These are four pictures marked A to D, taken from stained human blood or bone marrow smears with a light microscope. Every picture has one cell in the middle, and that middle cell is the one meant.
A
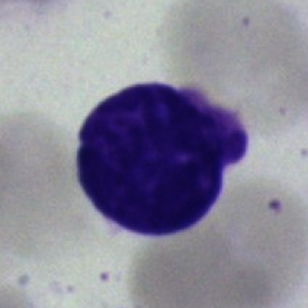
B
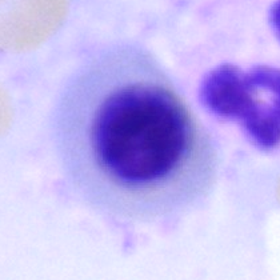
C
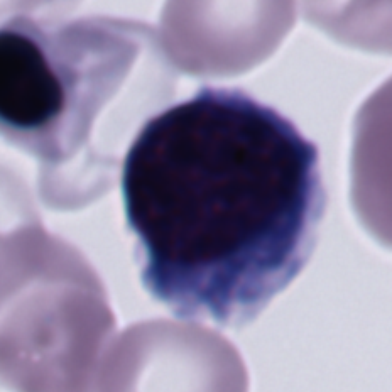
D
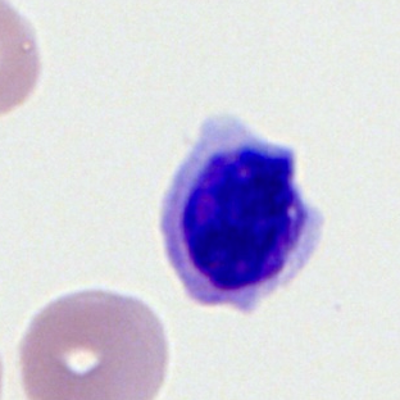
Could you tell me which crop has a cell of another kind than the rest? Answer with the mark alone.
A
